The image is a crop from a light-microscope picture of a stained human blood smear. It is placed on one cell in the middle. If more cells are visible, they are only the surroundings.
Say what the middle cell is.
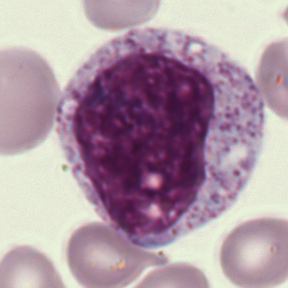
myelocyte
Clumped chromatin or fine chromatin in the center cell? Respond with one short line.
The chromatin pattern is fine and free of coarse clumps.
